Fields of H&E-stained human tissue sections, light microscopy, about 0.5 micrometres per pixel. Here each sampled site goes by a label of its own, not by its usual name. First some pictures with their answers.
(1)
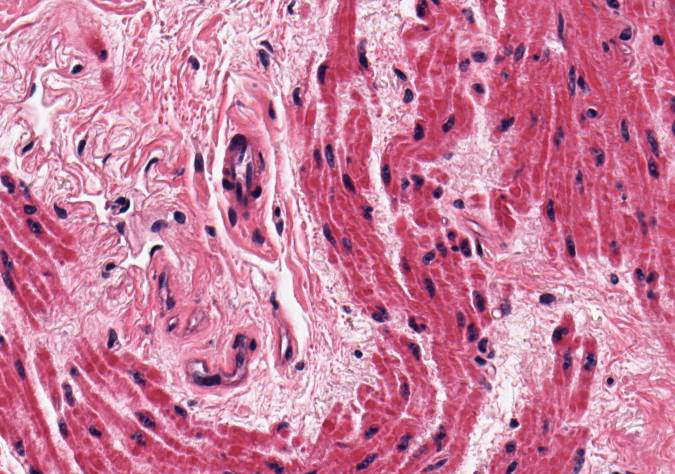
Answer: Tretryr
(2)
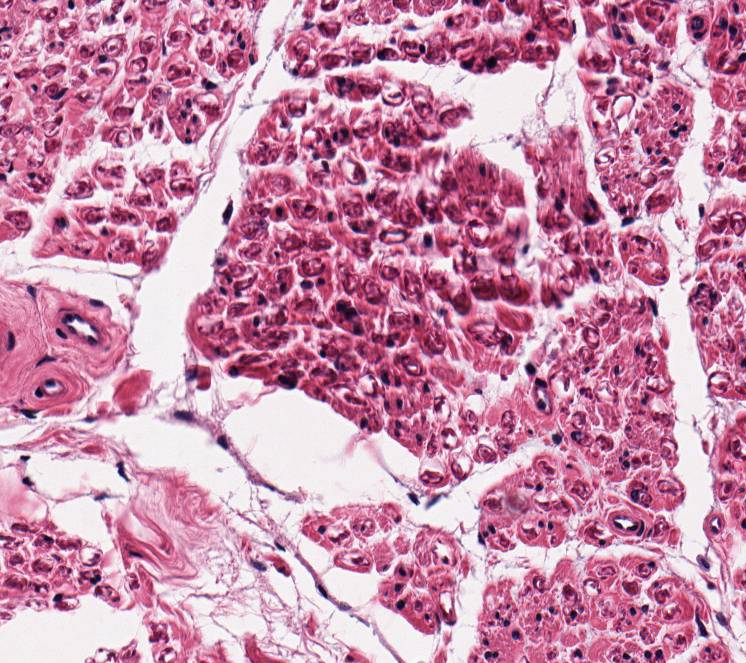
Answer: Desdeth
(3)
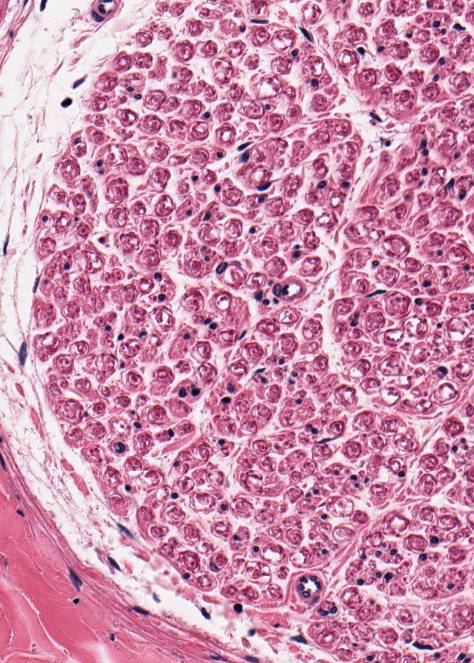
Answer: Desdeth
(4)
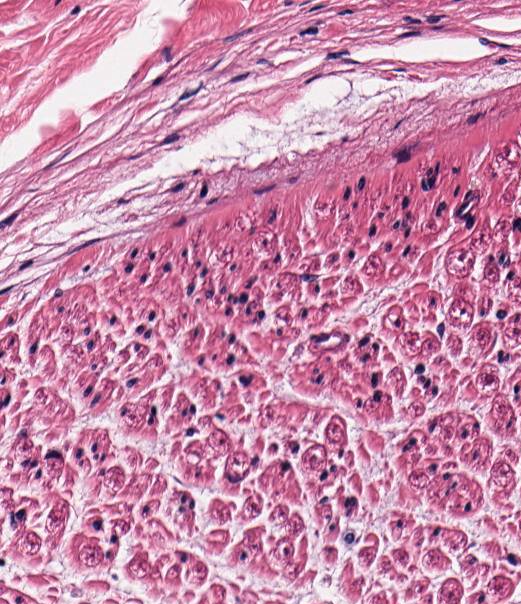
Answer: Desdeth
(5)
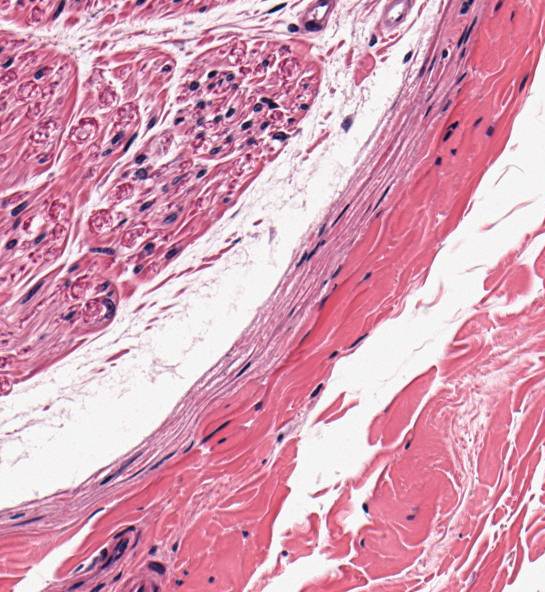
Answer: Desdeth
